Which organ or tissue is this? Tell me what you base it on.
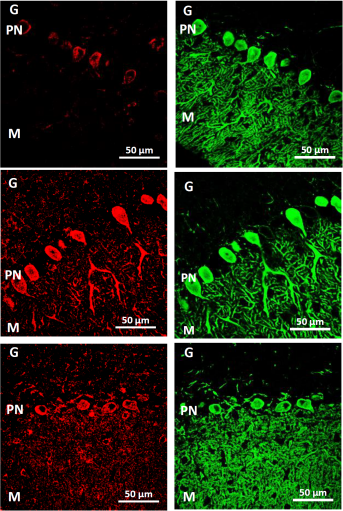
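Cerebellums. A single row of large, rounded neuronal cell bodies runs across each image. Thick dendritic trees branch from these cell bodies into a broad layer on one side. A layer without labelled cells lies on the other side of the row of cell bodies.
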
